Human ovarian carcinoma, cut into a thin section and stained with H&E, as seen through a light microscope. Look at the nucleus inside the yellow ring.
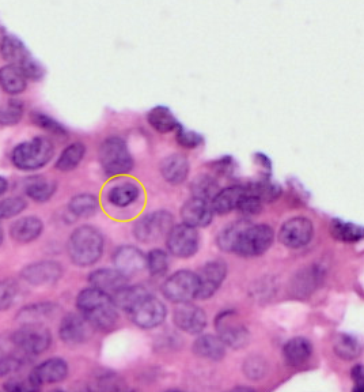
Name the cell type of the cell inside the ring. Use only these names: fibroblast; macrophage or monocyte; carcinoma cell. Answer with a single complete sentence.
Just put down that the cell inside the ring is a macrophage or monocyte.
